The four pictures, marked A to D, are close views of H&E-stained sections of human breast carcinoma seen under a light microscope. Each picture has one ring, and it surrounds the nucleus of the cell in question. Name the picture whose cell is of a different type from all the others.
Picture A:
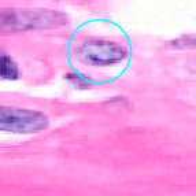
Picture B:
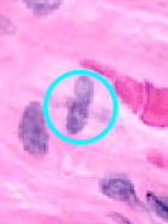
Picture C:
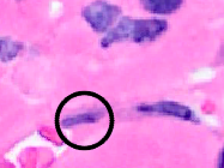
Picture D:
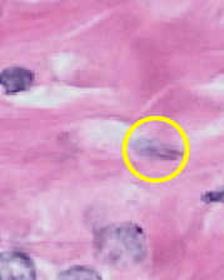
D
